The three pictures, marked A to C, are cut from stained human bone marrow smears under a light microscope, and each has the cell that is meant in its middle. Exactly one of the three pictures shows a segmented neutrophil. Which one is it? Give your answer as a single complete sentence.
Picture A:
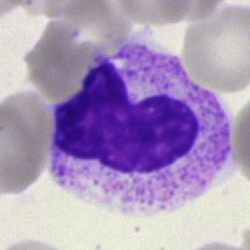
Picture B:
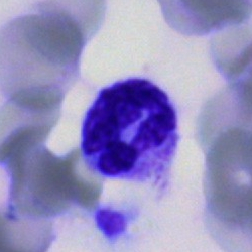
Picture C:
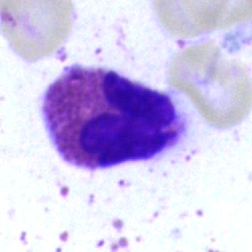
The picture with the segmented neutrophil is B.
